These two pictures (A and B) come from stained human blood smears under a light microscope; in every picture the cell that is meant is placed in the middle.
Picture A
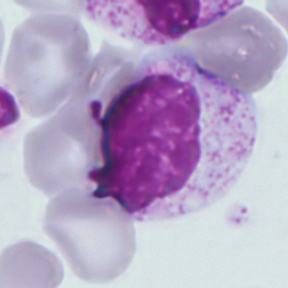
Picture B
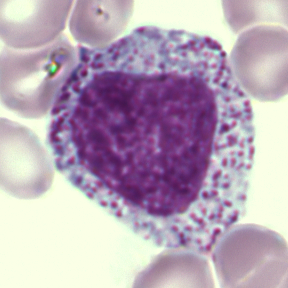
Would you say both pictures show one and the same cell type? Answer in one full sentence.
Yes, they are the same type: both are myelocytes.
